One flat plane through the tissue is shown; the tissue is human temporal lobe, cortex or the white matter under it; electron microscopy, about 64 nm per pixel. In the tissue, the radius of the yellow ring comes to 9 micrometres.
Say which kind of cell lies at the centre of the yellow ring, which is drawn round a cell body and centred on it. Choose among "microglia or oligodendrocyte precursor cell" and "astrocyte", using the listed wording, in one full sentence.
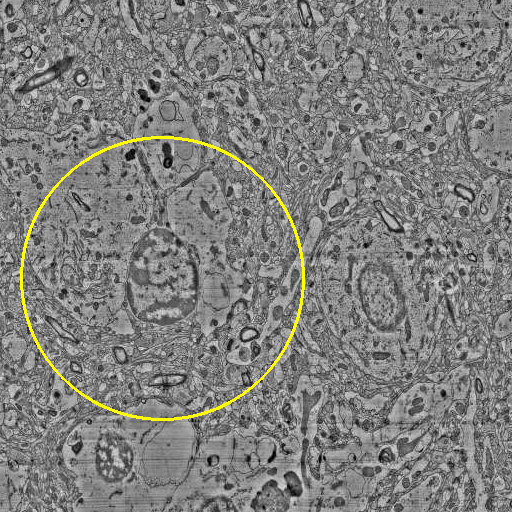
Going by the list, the cell at the yellow ring's centre is a microglial cell or oligodendrocyte precursor cell.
